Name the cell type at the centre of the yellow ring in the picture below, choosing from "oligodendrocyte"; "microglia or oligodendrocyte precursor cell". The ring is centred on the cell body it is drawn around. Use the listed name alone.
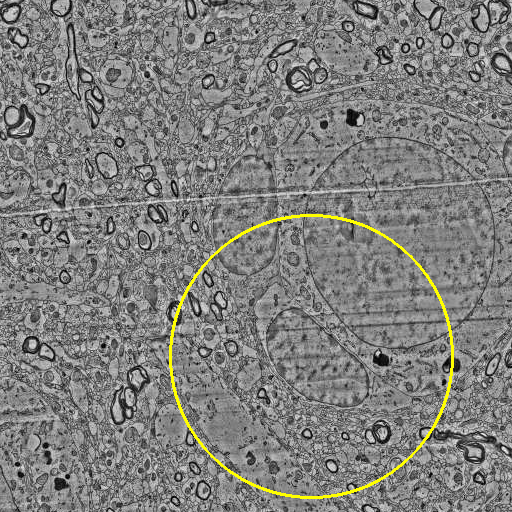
microglia or oligodendrocyte precursor cell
